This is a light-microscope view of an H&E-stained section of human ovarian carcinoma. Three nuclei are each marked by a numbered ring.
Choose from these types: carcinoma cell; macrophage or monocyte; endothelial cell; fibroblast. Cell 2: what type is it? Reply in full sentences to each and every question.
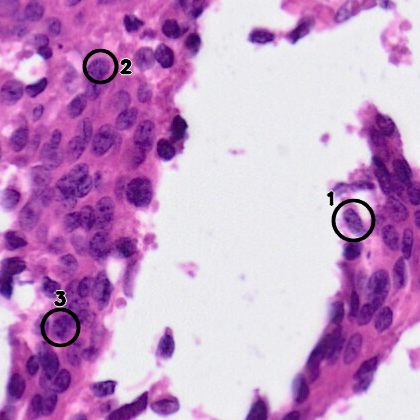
Corresponding to a carcinoma cell is the cell labelled 2.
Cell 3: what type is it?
Nucleus 3 in this section belongs to a carcinoma cell.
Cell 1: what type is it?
Recognised here as a macrophage or monocyte is the cell numbered 1.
